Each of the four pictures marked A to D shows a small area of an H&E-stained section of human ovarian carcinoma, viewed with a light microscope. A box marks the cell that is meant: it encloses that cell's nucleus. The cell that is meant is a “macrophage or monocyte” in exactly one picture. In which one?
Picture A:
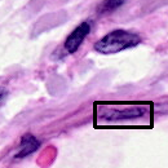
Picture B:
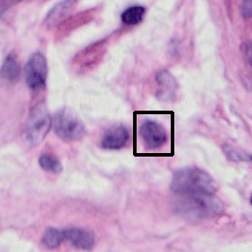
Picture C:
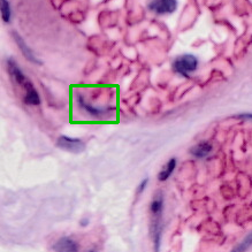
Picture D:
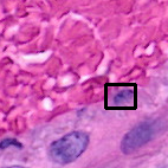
B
